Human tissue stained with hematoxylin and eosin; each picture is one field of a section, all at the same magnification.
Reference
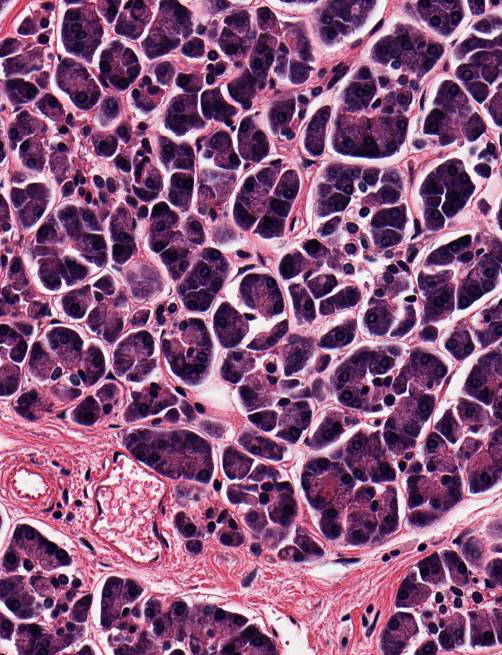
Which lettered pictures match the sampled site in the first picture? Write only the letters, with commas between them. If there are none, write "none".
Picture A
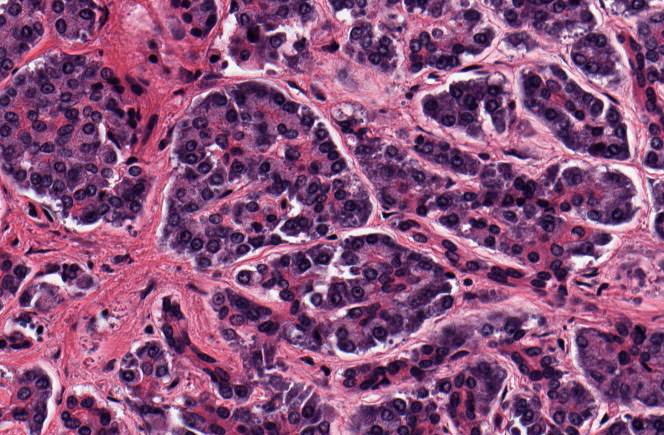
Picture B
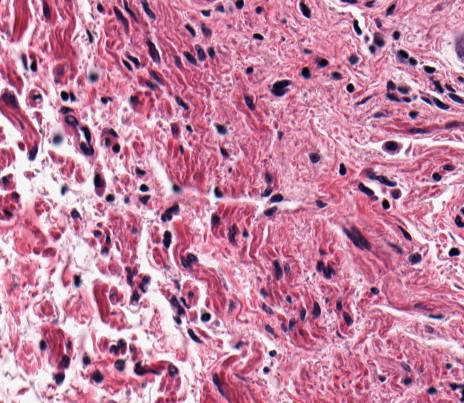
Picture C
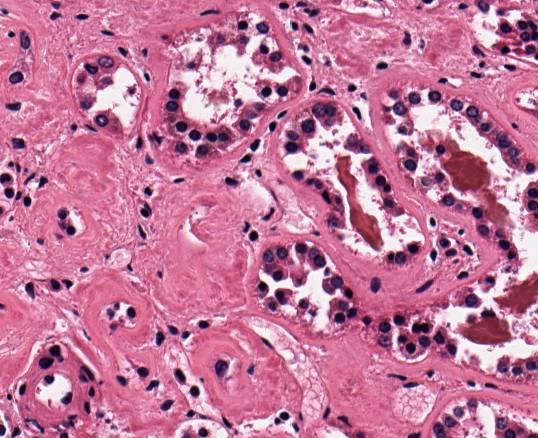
A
